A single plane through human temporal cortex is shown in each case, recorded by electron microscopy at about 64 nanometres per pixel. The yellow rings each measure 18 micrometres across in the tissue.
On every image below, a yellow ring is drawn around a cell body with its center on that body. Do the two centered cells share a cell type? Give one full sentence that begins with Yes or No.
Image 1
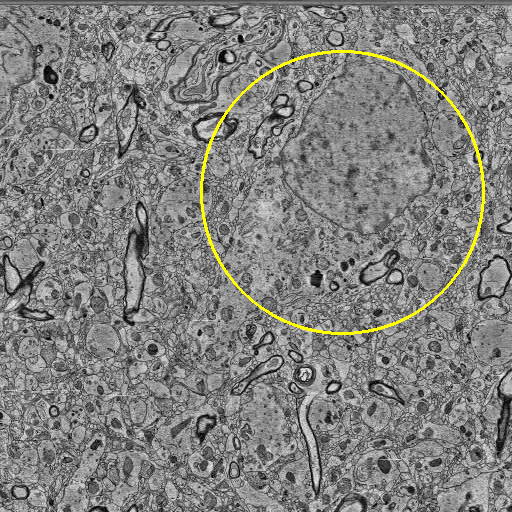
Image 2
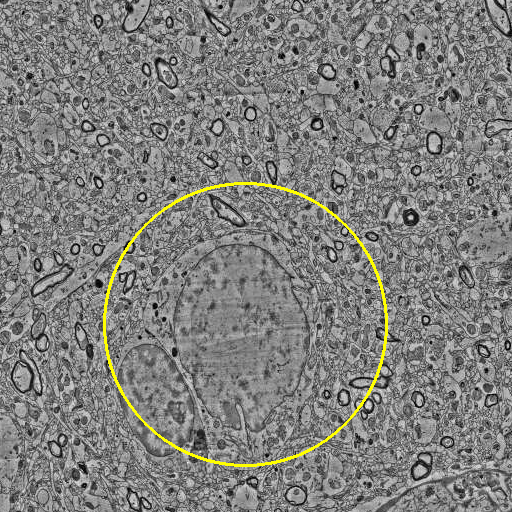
No, the centered cells in the two images are of two separate cell types.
